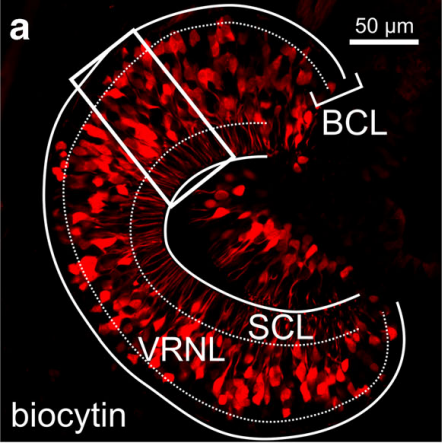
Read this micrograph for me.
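A crescent-shaped vomeronasal epithelium is shown with red-filled receptor neurons whose cell bodies crowd a broad middle layer. From these bodies thin straight dendrites run radially through a narrower inner layer toward the luminal surface, while the outer rim holds few labelled cells.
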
